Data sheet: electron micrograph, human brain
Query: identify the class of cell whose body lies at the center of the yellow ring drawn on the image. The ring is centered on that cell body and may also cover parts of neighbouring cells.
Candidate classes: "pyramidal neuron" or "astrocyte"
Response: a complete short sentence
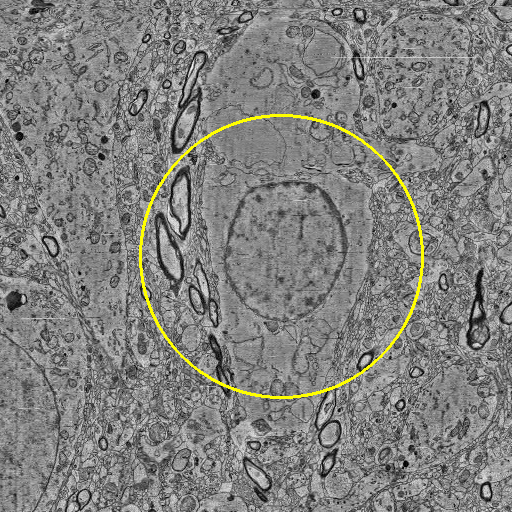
At the center of the ring lies an astrocyte.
